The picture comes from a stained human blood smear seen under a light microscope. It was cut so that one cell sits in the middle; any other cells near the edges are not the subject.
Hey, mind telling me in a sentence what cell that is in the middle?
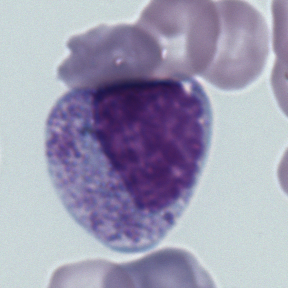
Framed in the middle of the crop is a myelocyte.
